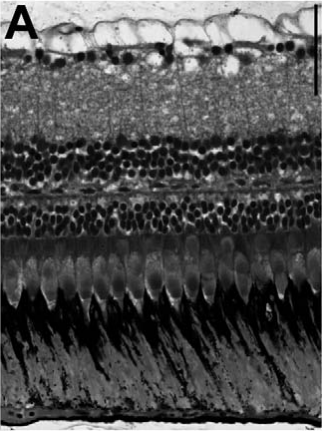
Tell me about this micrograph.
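This is a cross-section through the full thickness of a retina, with its layers stacked from top to bottom. At the top is a row of dark round nuclei beneath a thin membrane with pale vacuolated tissue. Below lies a wide, finely fibrous pale band, then two thick layers of densely packed dark round nuclei separated by a thin fibrous band. Beneath these is a row of tall, tapering photoreceptor cells with pale grey inner segments. The bottom is taken up by dark, streaky outer segments intermingled with black pigment of the pigment epithelium. The layering is regular and undisturbed.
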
